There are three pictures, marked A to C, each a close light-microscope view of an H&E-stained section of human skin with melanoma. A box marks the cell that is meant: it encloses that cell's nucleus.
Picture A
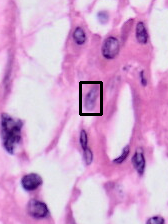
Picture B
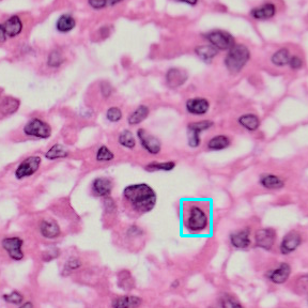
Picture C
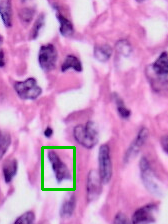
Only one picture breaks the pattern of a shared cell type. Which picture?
C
